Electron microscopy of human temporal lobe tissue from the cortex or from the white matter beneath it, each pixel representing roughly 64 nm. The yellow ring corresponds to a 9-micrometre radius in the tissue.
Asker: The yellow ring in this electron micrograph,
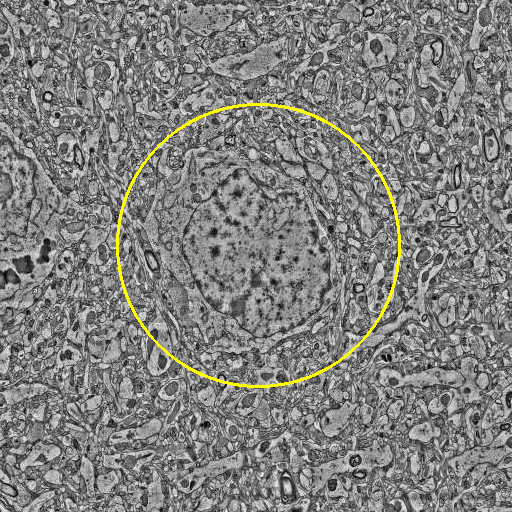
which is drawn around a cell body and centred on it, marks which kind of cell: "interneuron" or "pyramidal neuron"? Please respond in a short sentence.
The marked cell is an interneuron.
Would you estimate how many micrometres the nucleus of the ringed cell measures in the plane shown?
Roughly 10 micrometers across in this plane.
